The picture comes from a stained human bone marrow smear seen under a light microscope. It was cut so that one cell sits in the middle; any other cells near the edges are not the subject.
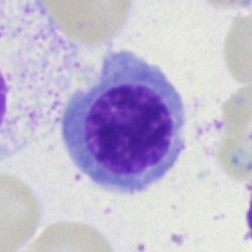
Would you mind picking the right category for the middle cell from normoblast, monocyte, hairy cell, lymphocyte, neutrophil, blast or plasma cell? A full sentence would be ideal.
Standing at the centre of this crop is a normoblast.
